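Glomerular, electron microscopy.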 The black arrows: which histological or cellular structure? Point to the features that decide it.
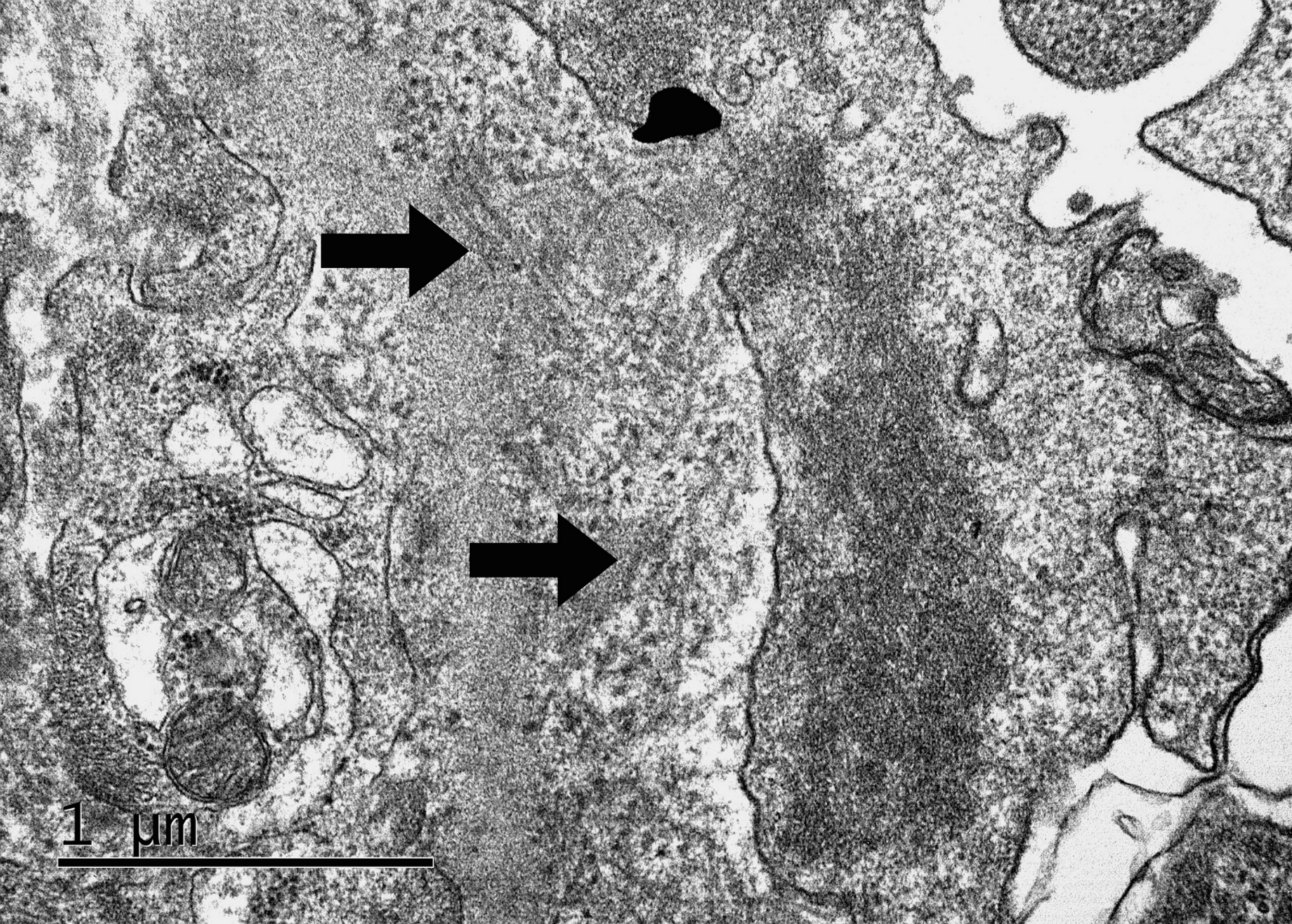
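The arrows point into a broad grey band of extracellular material between cells. That material has a fine, streaky texture of thin fibrils running in varied directions. On this evidence: fibrillary deposits.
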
